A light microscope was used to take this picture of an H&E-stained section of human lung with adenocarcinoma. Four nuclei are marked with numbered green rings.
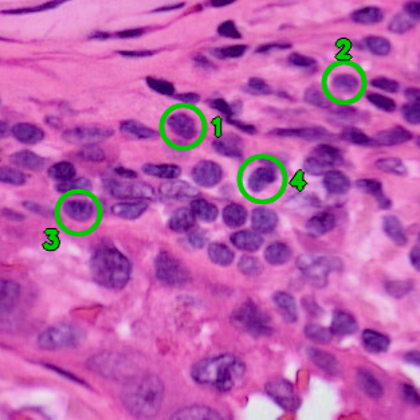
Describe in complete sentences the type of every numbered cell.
Cell 1 is a mast cell. Cells 2, 3 and 4 are lymphocytes.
